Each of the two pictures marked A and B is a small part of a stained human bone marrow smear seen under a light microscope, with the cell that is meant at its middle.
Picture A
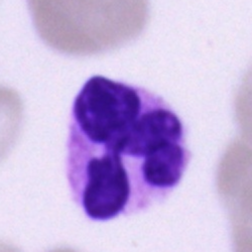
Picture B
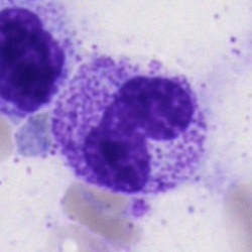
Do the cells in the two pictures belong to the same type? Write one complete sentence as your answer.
No, they differ: the cell is a segmented neutrophil in picture A and a metamyelocyte in picture B.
